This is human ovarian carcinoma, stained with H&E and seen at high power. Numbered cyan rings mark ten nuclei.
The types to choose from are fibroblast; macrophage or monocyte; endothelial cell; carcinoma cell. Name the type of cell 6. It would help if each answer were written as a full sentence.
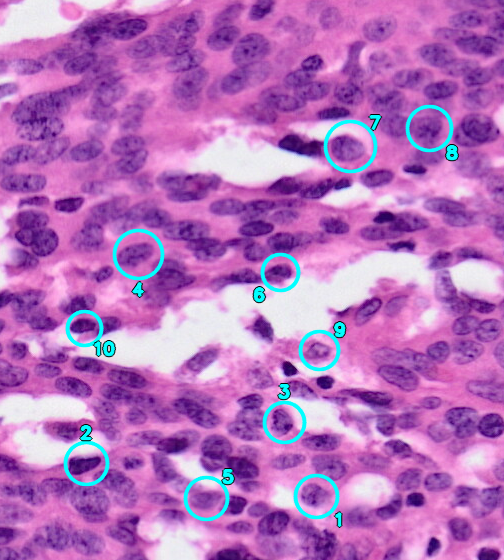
The nucleus with number 6 is that of a macrophage or monocyte.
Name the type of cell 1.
In this section, the cell tagged 1 is a macrophage or monocyte.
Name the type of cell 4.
The one labeled 4 is a carcinoma cell, to put it simply.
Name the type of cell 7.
The correct label for cell 7 is a carcinoma cell.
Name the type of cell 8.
The expected answer is that cell 8 is a carcinoma cell.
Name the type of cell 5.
Nucleus 5 in this section belongs to a carcinoma cell.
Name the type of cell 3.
Cell number 3 in this section is a macrophage or monocyte.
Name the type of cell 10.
In the tissue shown, cell 10 is a carcinoma cell.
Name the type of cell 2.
Here the cell numbered 2 is a carcinoma cell.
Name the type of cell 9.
The nucleus with number 9 is that of a macrophage or monocyte.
